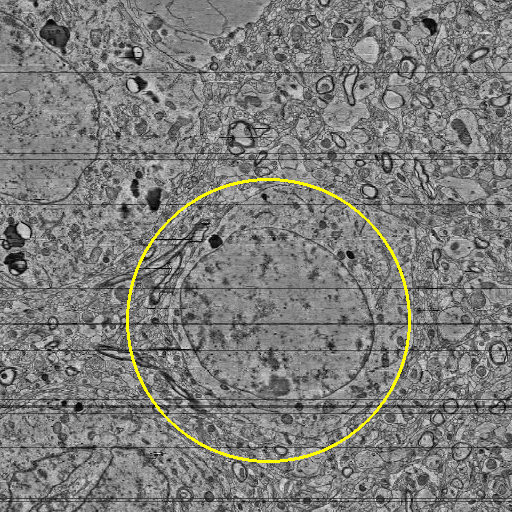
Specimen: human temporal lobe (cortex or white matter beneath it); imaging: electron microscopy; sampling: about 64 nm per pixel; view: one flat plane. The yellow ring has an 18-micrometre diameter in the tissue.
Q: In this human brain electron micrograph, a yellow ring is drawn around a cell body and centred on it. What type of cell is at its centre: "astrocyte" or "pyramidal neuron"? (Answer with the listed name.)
pyramidal neuron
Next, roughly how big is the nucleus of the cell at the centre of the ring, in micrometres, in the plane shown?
The nucleus of the ringed cell is approximately 12 micrometres across in this plane.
